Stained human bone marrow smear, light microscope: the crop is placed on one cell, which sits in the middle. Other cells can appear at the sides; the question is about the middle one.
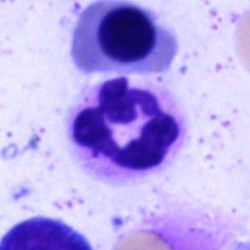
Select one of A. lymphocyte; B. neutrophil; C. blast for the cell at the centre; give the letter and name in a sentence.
Option B is correct; the cell in the middle is a neutrophil.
